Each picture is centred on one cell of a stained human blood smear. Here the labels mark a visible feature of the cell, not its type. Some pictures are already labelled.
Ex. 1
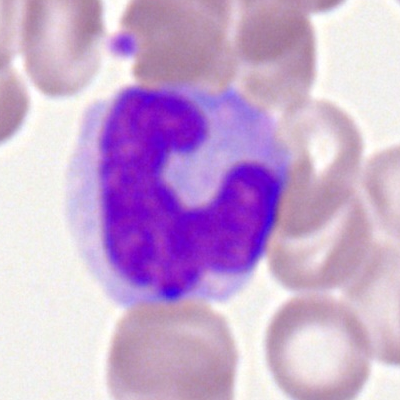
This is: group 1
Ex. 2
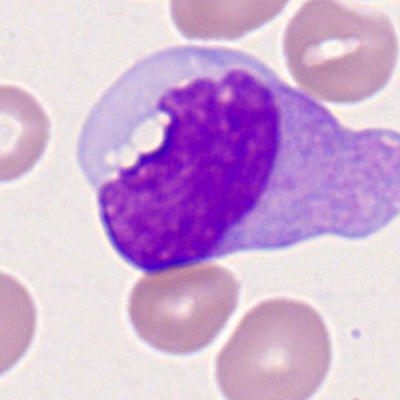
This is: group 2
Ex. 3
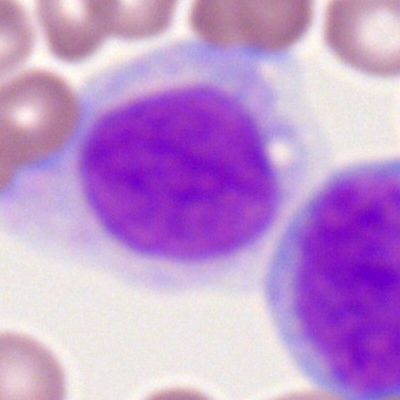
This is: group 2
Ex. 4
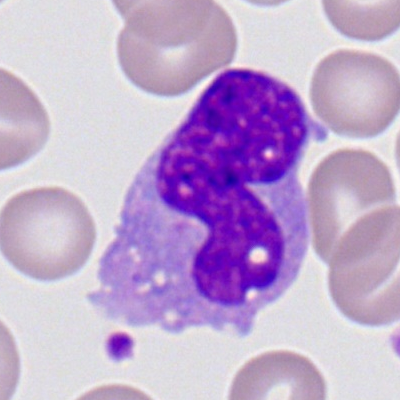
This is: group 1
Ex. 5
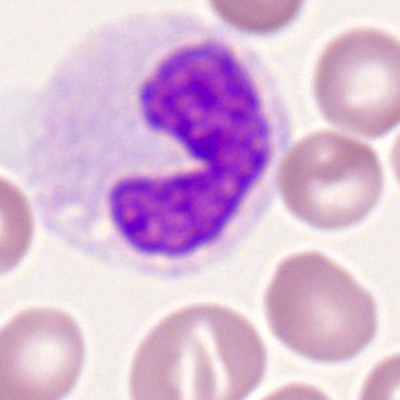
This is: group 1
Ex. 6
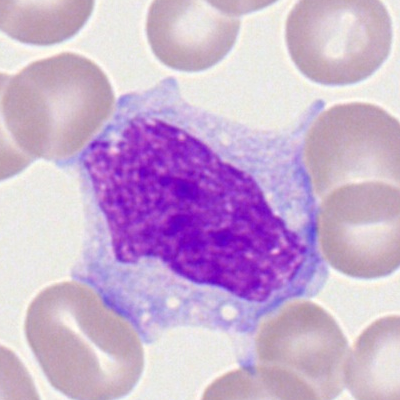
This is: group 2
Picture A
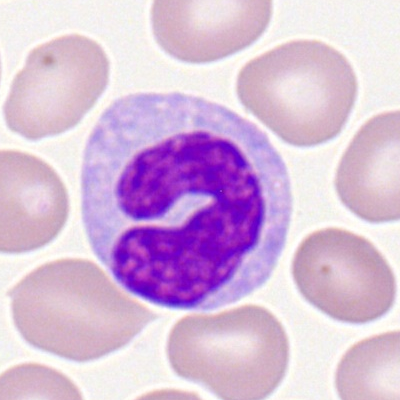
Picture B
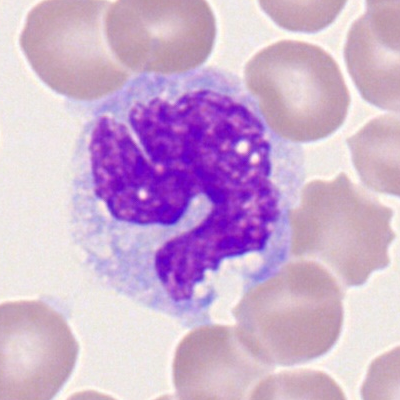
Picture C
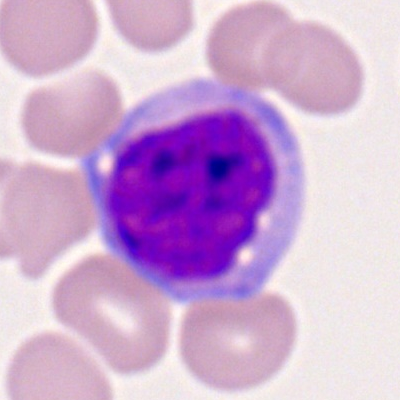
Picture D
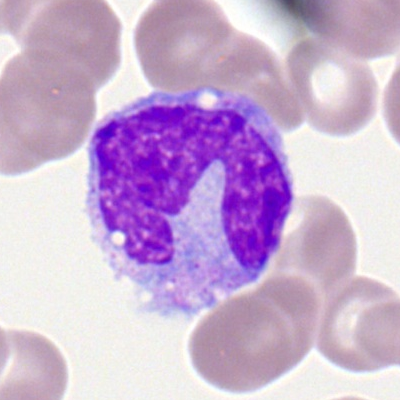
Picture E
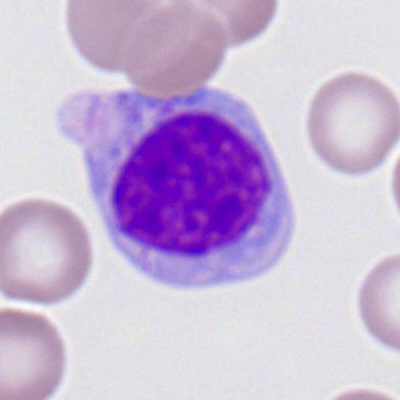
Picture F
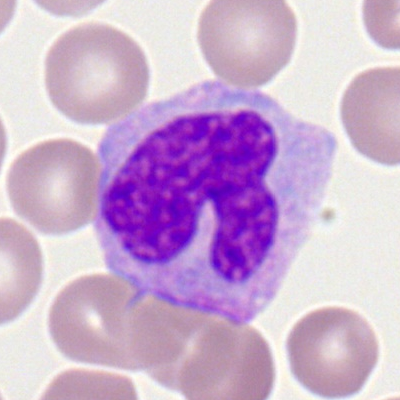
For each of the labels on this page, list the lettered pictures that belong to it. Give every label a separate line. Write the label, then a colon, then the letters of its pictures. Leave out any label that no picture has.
group 1: A, B, D, F
group 2: C, E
